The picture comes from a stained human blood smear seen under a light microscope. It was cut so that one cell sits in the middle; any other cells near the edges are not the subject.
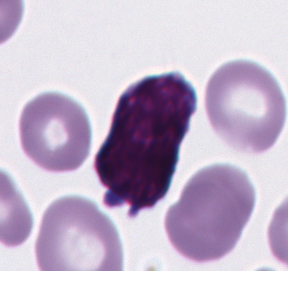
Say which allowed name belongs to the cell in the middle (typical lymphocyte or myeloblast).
myeloblast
